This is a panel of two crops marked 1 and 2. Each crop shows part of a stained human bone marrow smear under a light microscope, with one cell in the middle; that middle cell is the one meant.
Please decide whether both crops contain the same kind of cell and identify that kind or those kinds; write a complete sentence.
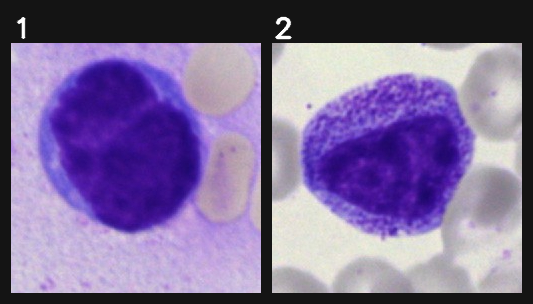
No, crop 1 contains a blast; a myelocyte is what crop 2 contains.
